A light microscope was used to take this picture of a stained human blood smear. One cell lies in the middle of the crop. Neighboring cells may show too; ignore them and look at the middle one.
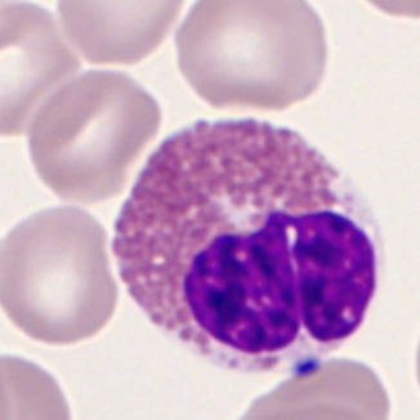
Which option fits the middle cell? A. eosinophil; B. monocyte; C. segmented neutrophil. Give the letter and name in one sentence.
Of the choices given, option A is right, as the central cell is an eosinophil.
